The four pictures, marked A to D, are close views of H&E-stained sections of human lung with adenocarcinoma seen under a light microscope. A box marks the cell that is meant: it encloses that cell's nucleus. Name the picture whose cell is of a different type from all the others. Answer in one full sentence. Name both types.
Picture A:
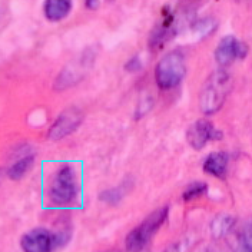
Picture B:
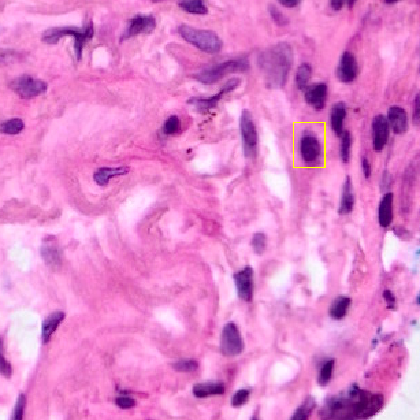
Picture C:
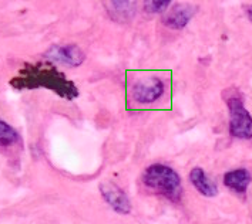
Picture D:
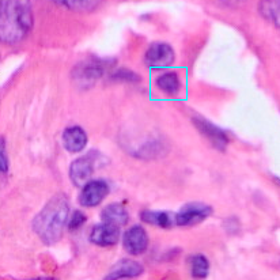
Picture D differs, because its cell is a lymphocyte and the rest are plasma cells.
